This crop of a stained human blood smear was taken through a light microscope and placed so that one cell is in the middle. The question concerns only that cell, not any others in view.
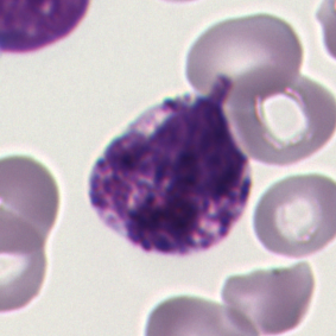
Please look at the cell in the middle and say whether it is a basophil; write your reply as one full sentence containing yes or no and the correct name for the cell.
Yes, the cell in the center of this crop is a basophil.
